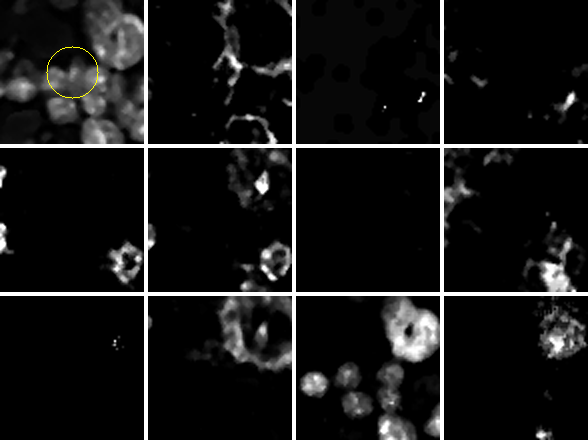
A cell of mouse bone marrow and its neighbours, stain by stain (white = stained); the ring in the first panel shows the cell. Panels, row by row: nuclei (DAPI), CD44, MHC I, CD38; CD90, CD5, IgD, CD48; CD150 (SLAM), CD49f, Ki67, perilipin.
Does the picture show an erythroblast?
Yes.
